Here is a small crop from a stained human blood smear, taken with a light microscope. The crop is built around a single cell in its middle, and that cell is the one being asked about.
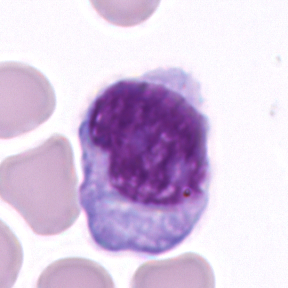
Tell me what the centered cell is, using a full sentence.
The target cell in the middle of the crop is a plasma cell.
